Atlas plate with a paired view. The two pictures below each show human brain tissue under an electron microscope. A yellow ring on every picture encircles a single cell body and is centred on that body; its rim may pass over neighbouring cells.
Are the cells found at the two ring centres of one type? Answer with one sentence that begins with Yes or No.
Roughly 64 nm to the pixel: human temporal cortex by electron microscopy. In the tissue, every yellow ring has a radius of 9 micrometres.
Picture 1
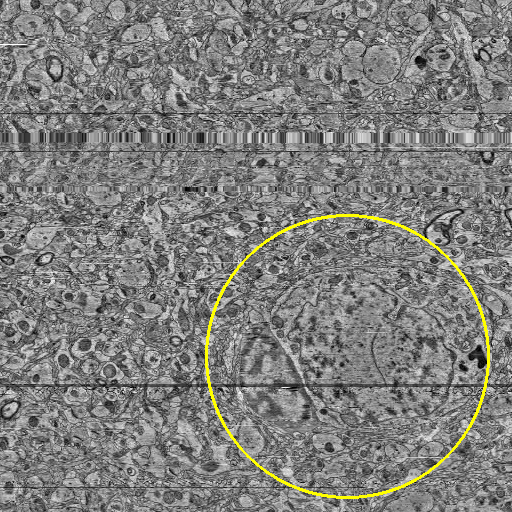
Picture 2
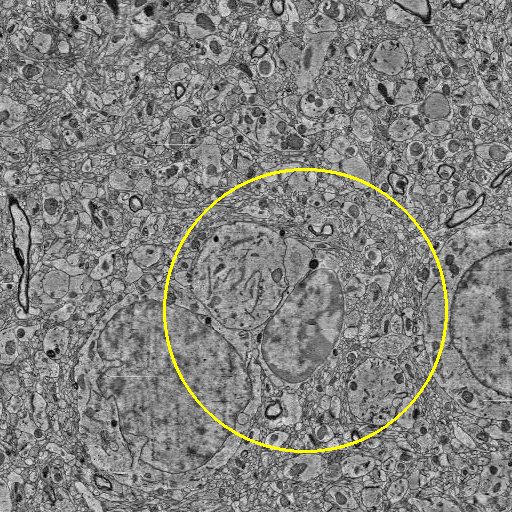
No, the two cells lying at the centres of the rings are of two types.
